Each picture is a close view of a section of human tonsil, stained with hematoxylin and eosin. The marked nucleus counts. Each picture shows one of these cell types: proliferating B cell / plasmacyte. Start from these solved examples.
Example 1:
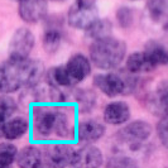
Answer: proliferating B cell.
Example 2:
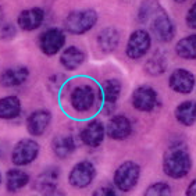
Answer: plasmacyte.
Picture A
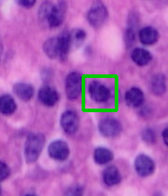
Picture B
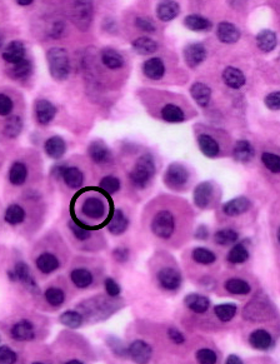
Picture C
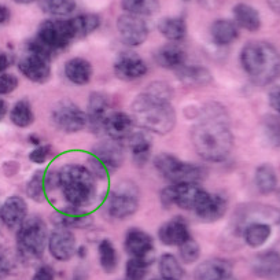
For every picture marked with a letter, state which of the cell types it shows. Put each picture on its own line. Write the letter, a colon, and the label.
A: plasmacyte.
B: plasmacyte.
C: proliferating B cell.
